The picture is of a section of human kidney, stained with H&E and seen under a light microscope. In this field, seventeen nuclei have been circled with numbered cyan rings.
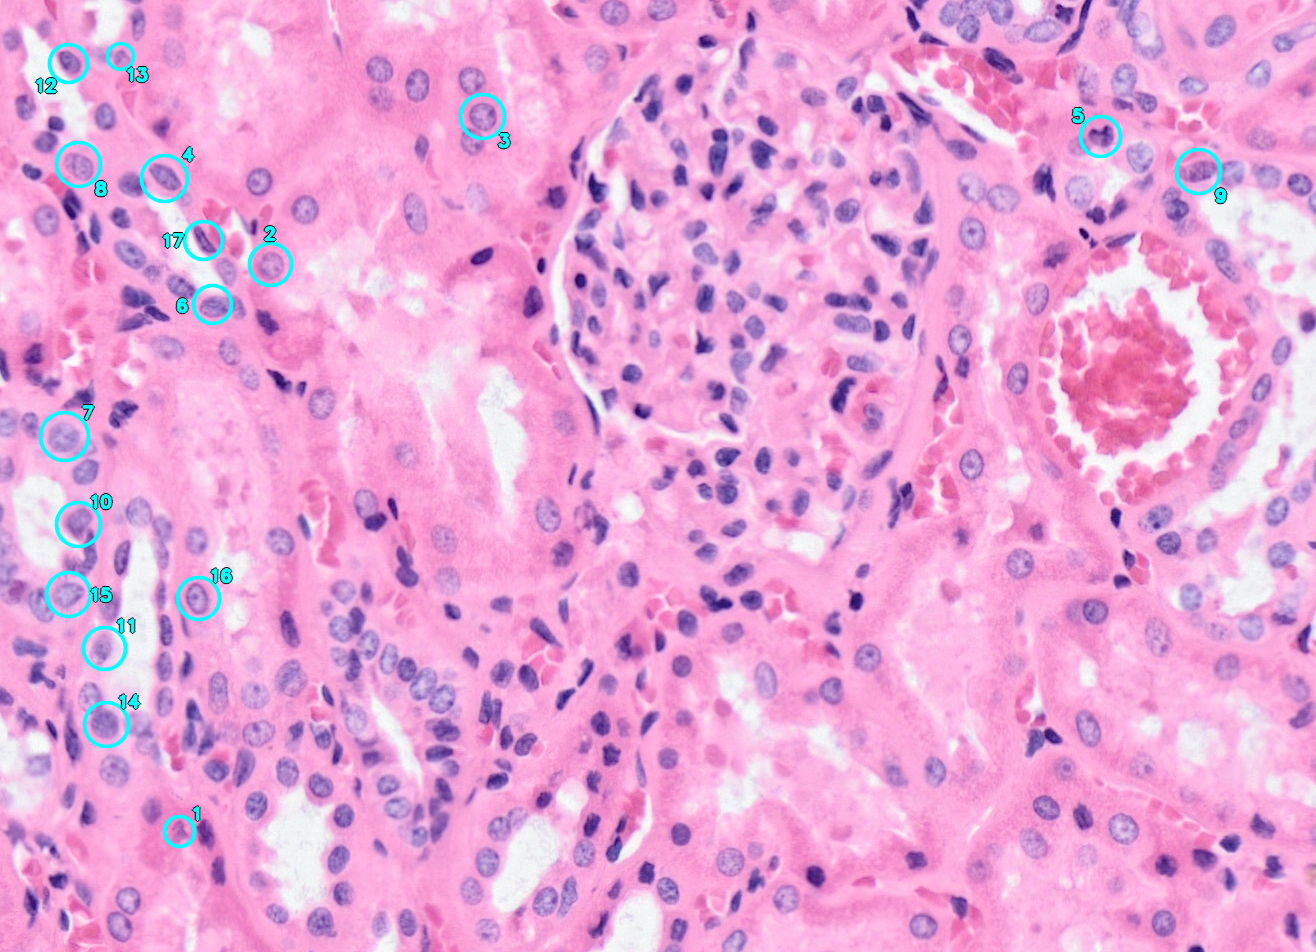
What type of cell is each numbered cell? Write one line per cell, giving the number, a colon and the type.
1: proximal tubule cell
2: proximal tubule cell
3: proximal tubule cell
4: collecting duct cell
5: collecting duct cell
6: collecting duct cell
7: collecting duct cell
8: loop of Henle or distal tubule cell
9: collecting duct cell
10: collecting duct cell
11: loop of Henle or distal tubule cell
12: loop of Henle or distal tubule cell
13: collecting duct cell
14: loop of Henle or distal tubule cell
15: collecting duct cell
16: proximal tubule cell
17: collecting duct cell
